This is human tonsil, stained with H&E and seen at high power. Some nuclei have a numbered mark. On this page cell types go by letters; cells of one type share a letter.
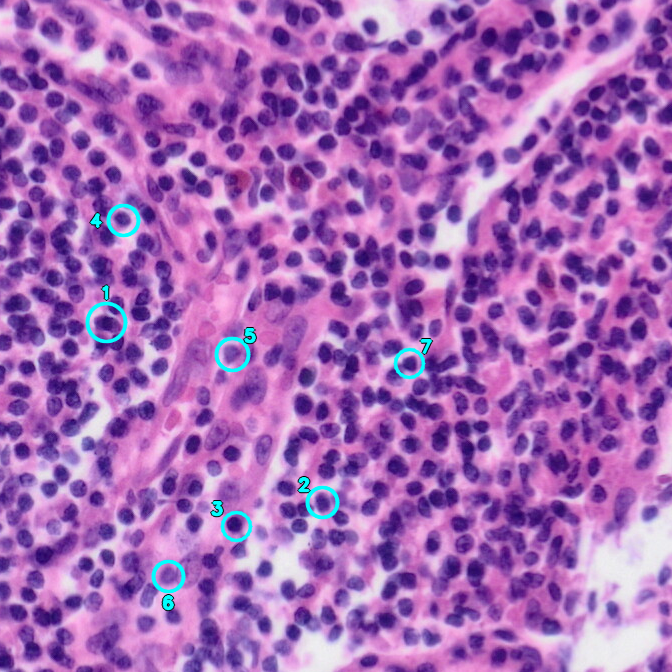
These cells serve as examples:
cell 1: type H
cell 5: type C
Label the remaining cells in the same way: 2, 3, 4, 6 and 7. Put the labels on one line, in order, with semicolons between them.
type H; type C; type H; type C; type H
